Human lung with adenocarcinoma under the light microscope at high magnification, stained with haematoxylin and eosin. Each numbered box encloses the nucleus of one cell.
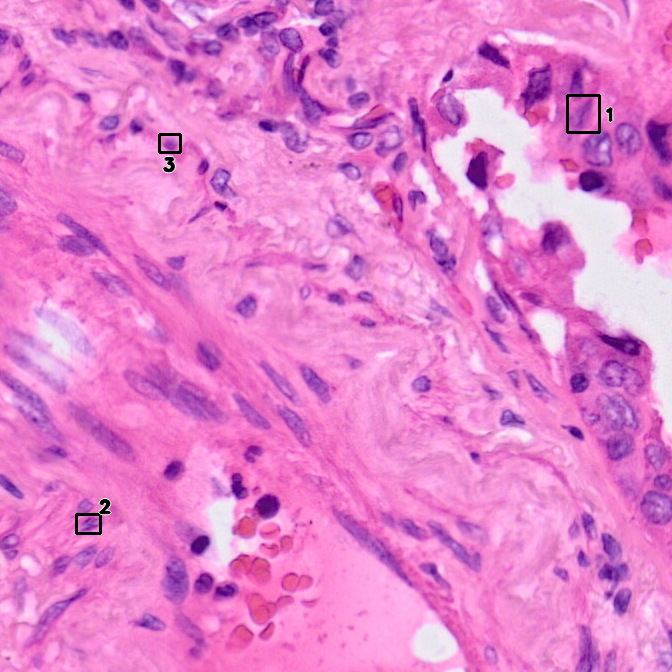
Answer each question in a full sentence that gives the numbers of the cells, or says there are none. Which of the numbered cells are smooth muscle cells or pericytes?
On this slide, the cells numbered 2 and 3 are smooth muscle cells or pericytes.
